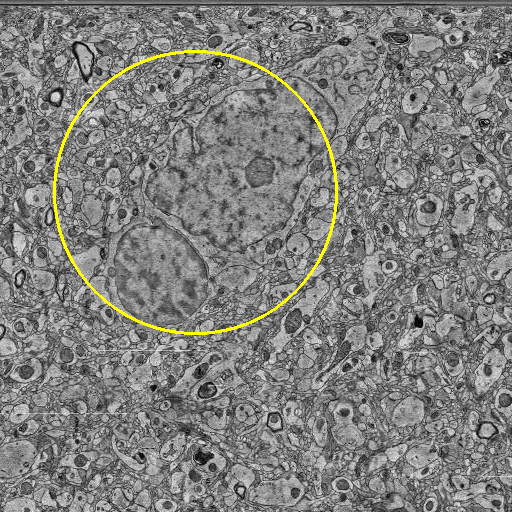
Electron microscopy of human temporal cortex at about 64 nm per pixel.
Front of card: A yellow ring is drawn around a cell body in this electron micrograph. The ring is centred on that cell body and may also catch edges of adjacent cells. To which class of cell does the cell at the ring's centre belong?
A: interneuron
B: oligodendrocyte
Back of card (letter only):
A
